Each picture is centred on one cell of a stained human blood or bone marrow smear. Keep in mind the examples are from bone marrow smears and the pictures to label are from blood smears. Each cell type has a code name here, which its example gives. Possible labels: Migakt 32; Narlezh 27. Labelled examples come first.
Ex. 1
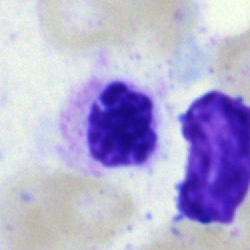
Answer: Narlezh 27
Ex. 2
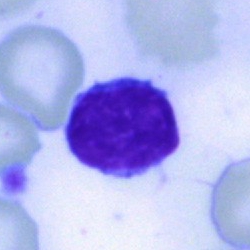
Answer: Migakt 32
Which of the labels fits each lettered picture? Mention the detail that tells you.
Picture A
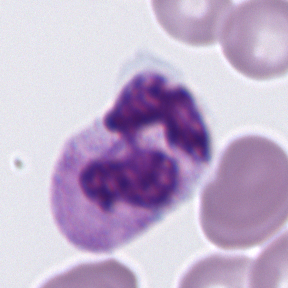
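Narlezh 27. Evidence: The nucleus forms two large masses joined by a narrower middle part.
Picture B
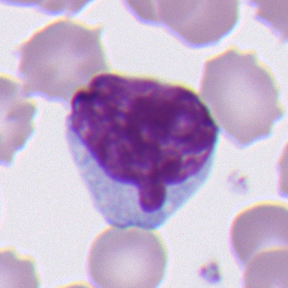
Migakt 32. Evidence: The nucleus fills most of the cell, and the cytoplasm forms a rim mainly below and to the left of it.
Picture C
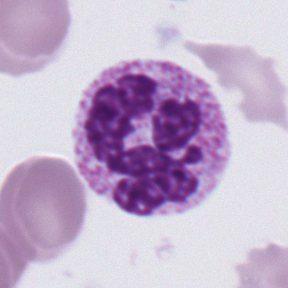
Narlezh 27. Evidence: The nucleus is split into many separate lobes arranged in a loose ring.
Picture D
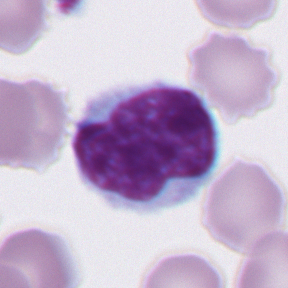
Migakt 32. Evidence: The cytoplasm is a thin pale greyish-blue rim.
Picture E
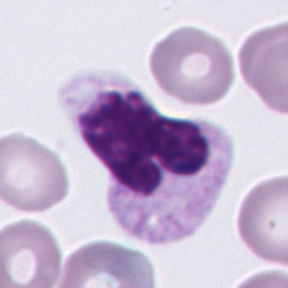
Narlezh 27. Evidence: The cytoplasm is plentiful and lies mostly below and to the right of the nucleus.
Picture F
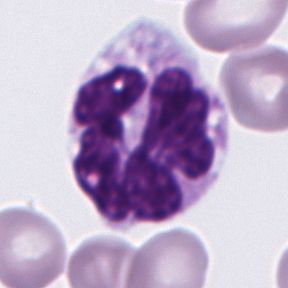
Narlezh 27. Evidence: A small bright white spot lies on the upper-left lobe of the nucleus.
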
